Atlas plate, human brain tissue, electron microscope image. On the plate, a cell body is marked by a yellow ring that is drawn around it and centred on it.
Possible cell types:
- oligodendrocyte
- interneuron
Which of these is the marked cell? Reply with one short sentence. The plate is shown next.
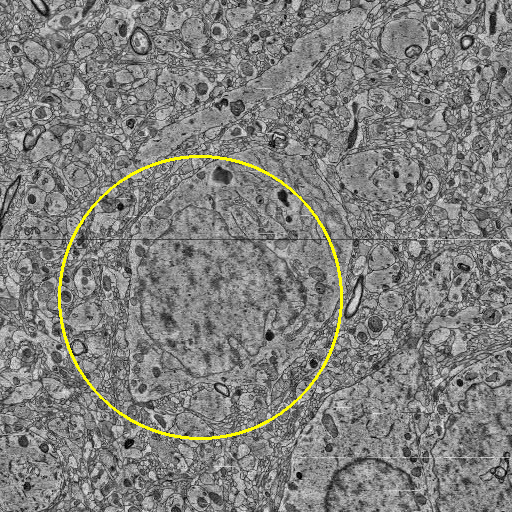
The marked cell is an interneuron.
